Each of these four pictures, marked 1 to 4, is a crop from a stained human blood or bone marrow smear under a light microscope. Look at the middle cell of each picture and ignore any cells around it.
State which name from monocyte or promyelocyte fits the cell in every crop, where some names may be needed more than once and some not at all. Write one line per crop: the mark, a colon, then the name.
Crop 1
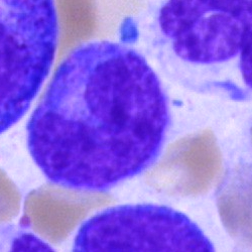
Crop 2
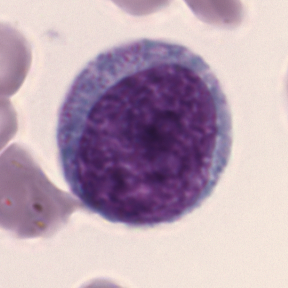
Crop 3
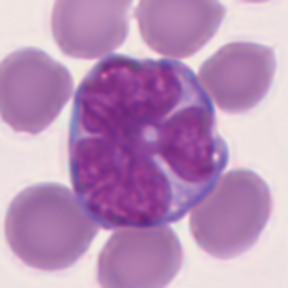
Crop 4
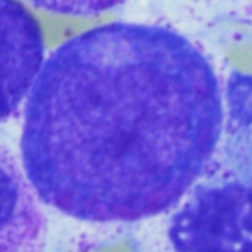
1: monocyte
2: promyelocyte
3: monocyte
4: promyelocyte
